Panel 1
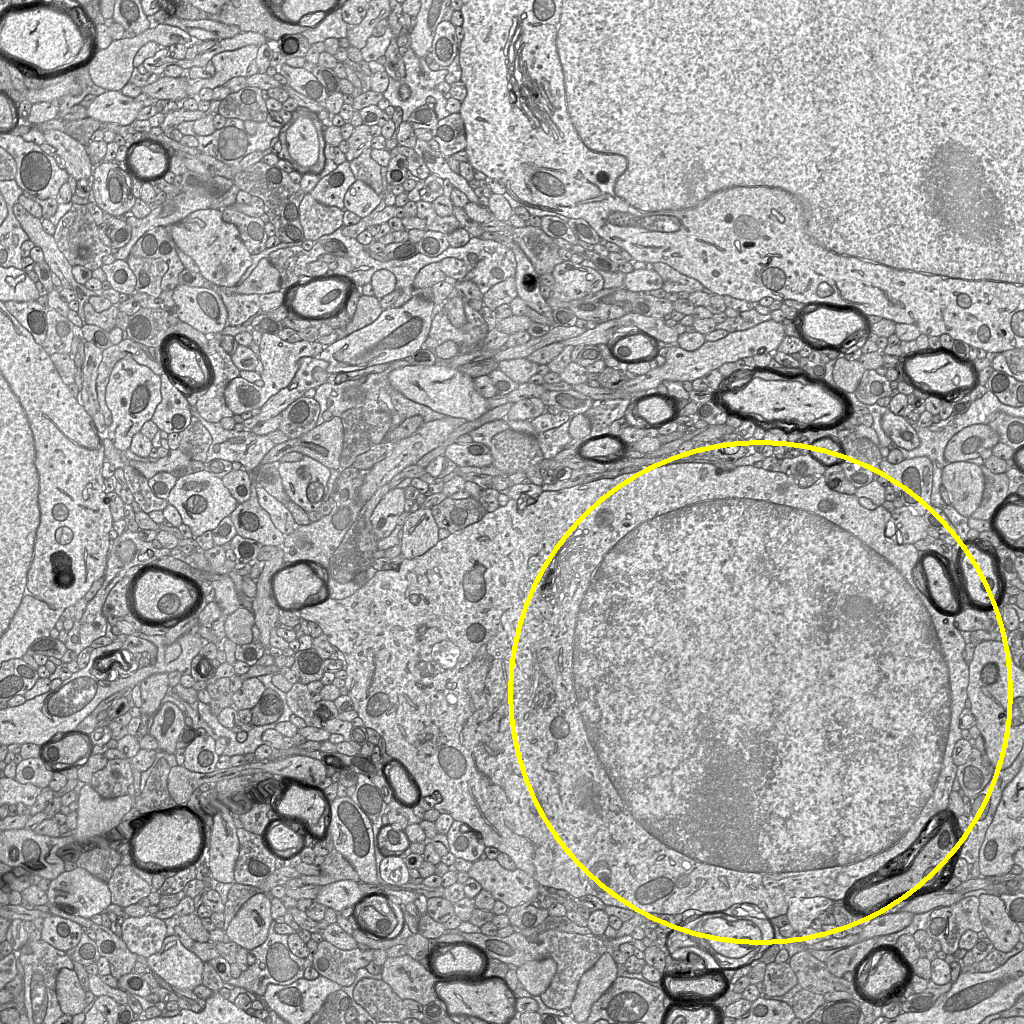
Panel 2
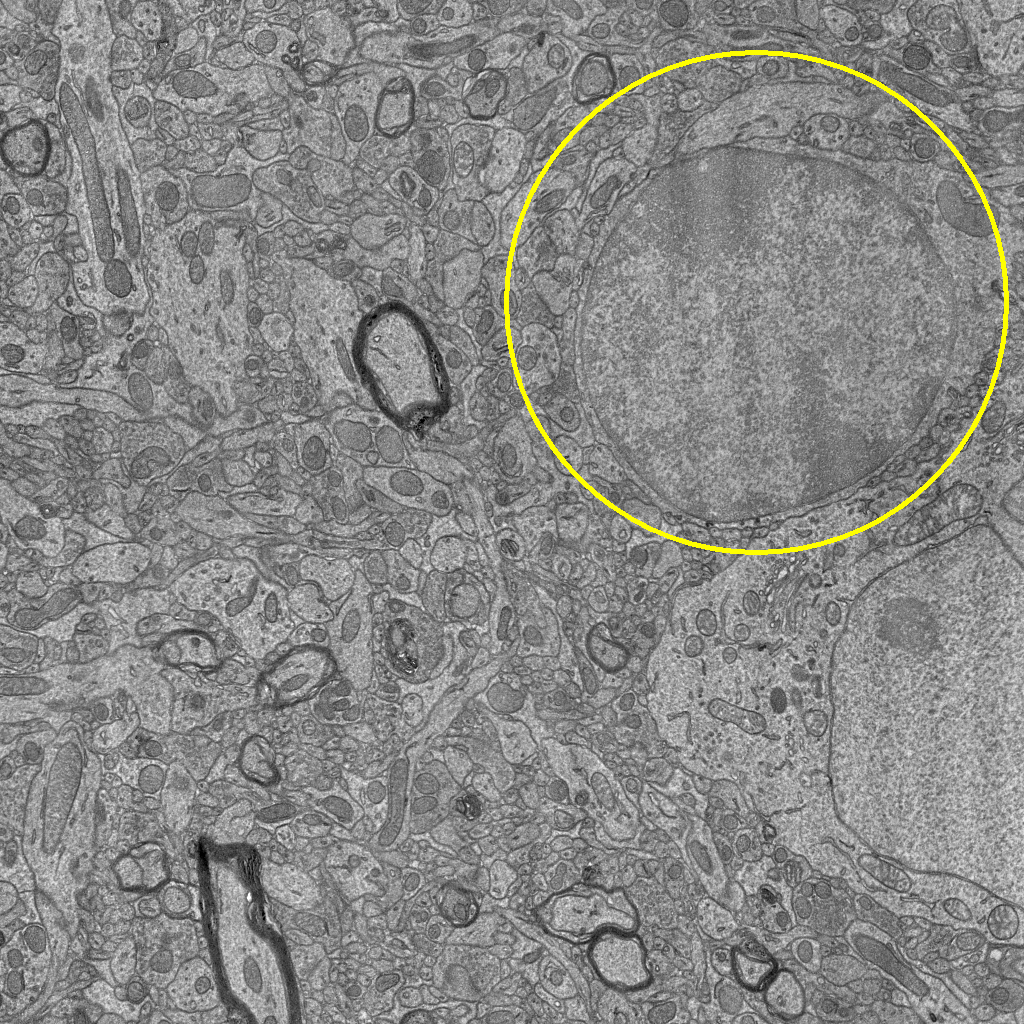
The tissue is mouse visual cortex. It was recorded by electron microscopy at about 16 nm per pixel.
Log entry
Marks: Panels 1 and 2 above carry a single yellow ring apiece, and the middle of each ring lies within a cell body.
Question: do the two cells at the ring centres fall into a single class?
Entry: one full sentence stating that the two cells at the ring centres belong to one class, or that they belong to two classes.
The two cells at the ring centres in Panels 1 and 2 belong to one class.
